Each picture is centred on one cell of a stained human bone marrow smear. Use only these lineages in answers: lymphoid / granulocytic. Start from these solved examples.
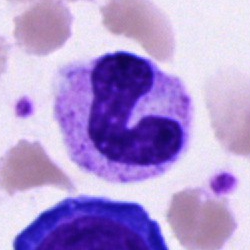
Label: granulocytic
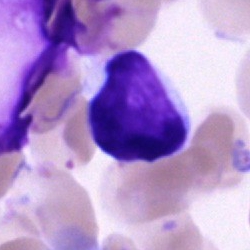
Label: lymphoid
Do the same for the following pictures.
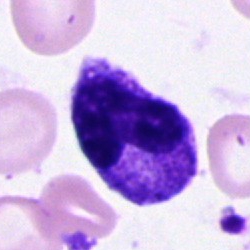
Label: granulocytic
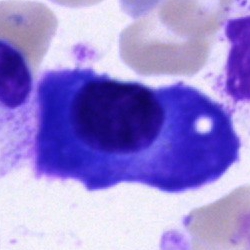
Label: lymphoid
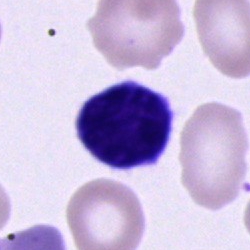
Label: lymphoid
